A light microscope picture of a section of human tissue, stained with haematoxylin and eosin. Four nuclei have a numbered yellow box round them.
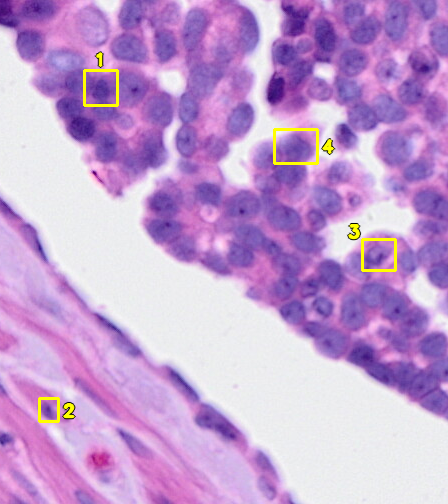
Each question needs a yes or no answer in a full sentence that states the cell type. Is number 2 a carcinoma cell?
No, that is wrong: cell 2 is a smooth muscle cell, and not a carcinoma cell.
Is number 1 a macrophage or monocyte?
No, a carcinoma cell, not a macrophage or monocyte, is the cell with number 1.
